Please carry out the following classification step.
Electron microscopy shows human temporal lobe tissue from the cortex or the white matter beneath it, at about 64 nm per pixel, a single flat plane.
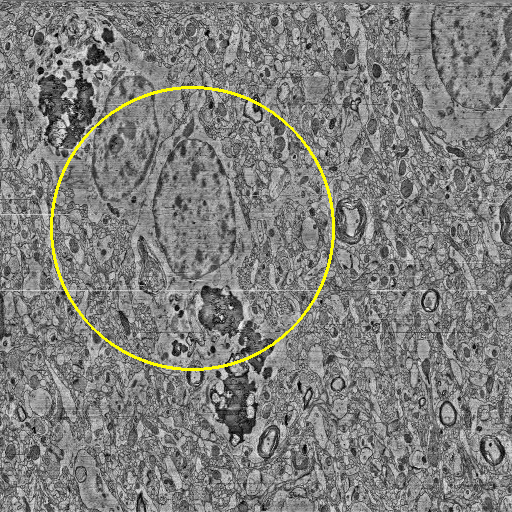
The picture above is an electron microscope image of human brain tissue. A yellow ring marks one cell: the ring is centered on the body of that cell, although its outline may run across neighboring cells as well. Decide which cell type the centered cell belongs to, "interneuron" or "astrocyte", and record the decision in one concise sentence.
The cell centered in the yellow ring is an astrocyte.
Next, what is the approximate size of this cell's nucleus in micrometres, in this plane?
Roughly 9 micrometres long and 5 micrometres wide; in this plane the nucleus is clearly longer than it is wide.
